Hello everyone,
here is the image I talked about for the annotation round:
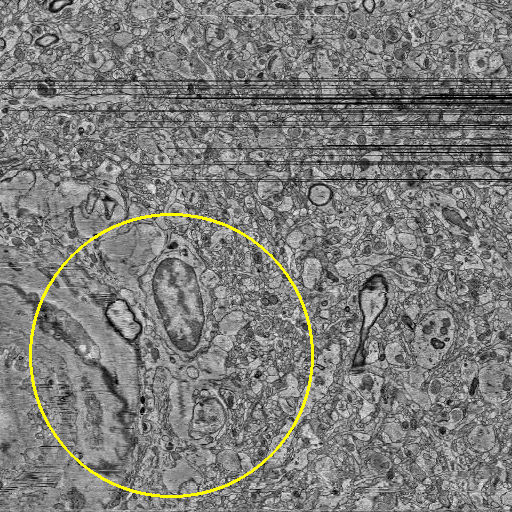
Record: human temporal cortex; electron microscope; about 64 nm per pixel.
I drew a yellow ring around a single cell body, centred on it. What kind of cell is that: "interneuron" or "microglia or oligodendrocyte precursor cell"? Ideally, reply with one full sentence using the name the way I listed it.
The cell your yellow ring is centred on is a microglial cell or oligodendrocyte precursor cell, going by your list.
